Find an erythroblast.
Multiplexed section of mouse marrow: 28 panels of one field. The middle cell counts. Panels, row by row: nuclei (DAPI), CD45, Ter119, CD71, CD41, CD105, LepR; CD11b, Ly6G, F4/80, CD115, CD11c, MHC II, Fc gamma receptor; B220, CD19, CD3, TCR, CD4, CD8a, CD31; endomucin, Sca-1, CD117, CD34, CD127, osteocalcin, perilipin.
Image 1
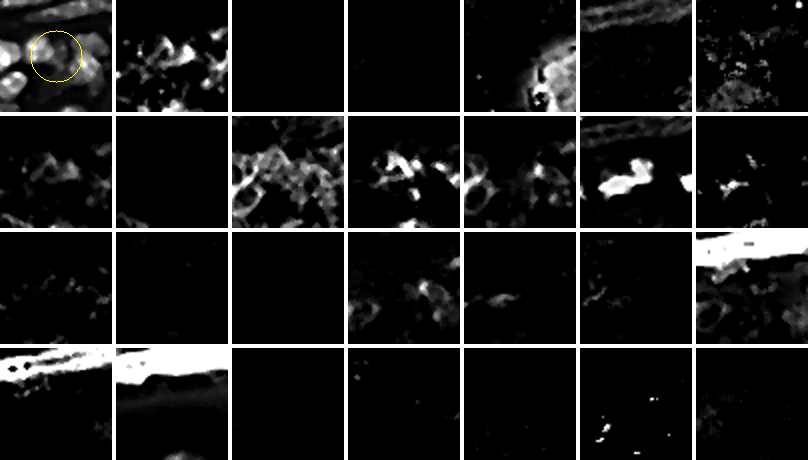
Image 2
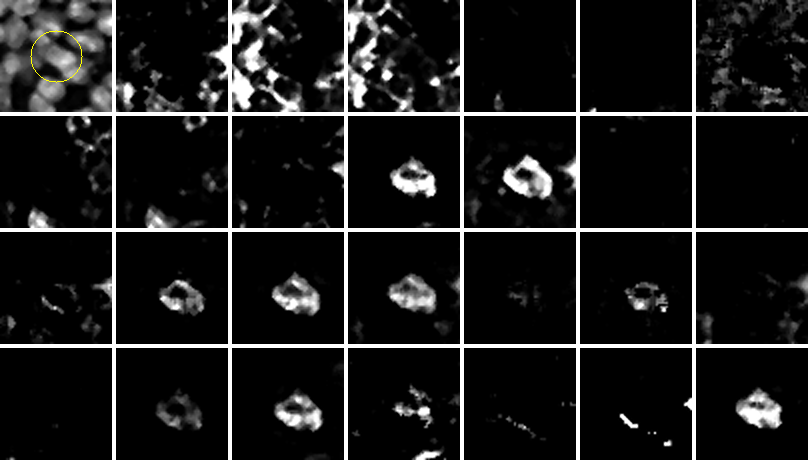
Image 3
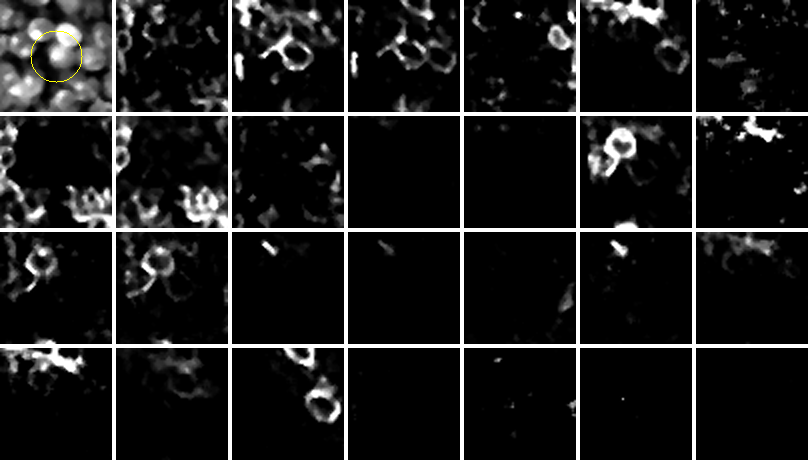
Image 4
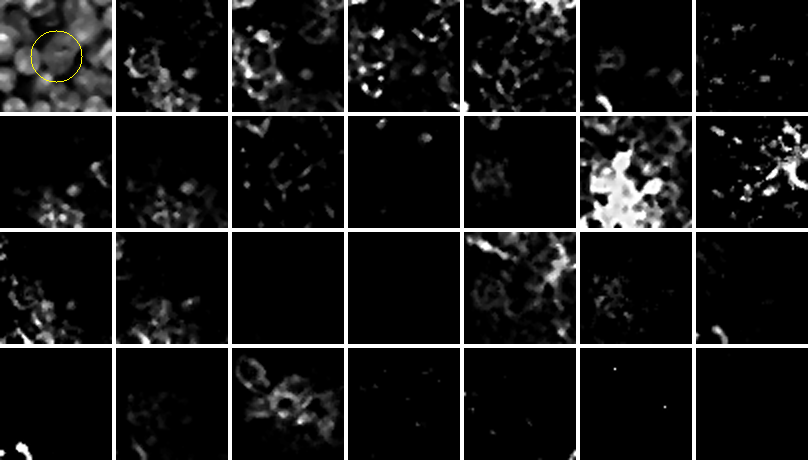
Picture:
3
